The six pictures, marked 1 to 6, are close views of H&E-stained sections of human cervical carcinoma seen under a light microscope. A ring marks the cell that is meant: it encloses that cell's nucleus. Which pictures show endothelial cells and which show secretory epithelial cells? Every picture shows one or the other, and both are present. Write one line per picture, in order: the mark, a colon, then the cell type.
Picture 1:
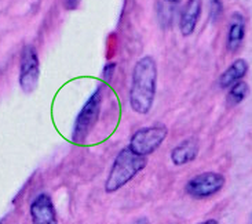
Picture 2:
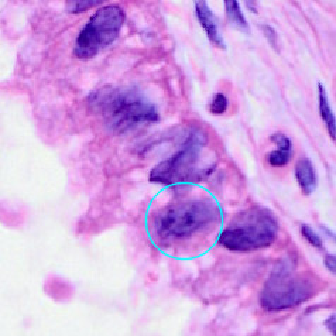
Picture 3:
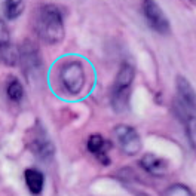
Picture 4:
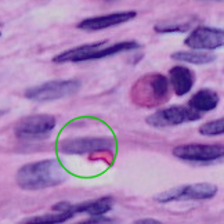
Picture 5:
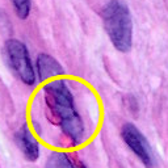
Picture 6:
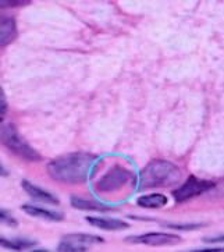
1: endothelial cell
2: secretory epithelial cell
3: endothelial cell
4: endothelial cell
5: endothelial cell
6: secretory epithelial cell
